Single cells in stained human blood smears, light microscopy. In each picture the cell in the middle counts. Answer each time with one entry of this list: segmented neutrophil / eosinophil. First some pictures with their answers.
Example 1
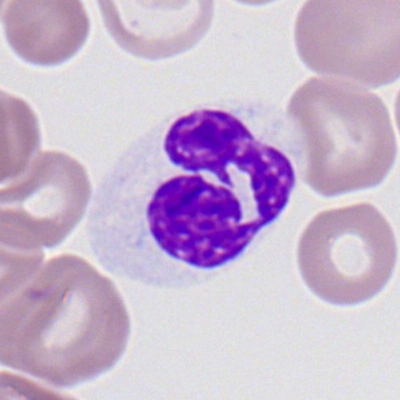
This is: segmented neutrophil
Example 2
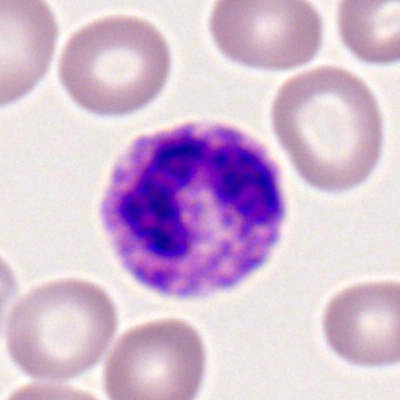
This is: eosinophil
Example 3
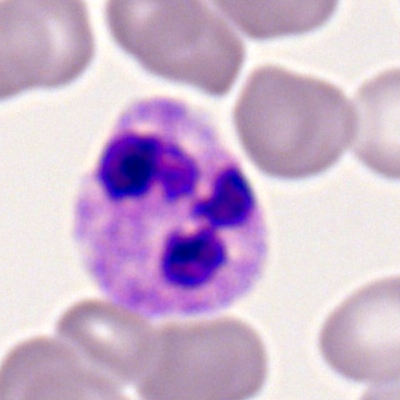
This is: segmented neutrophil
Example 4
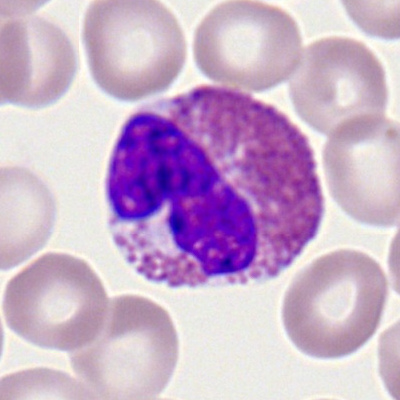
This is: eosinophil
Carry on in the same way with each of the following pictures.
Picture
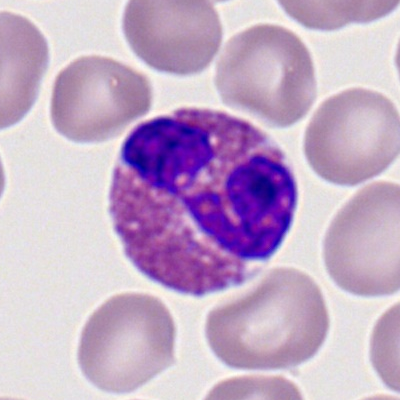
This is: eosinophil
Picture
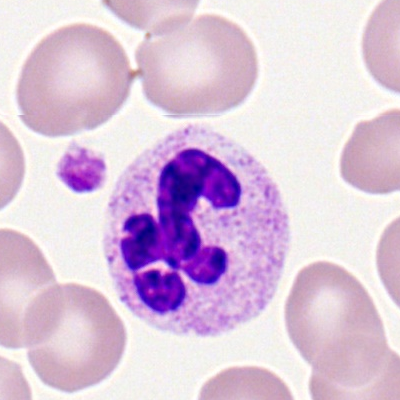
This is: segmented neutrophil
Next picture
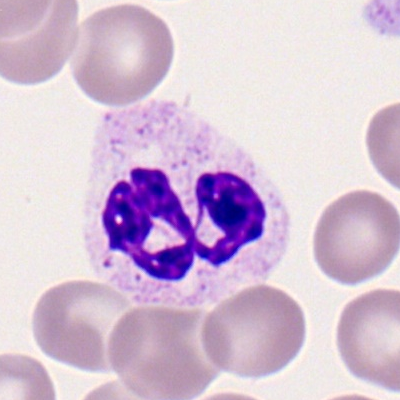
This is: segmented neutrophil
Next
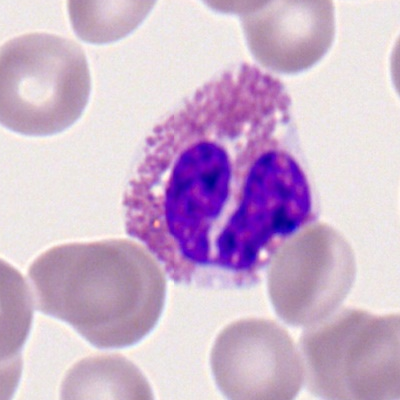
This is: eosinophil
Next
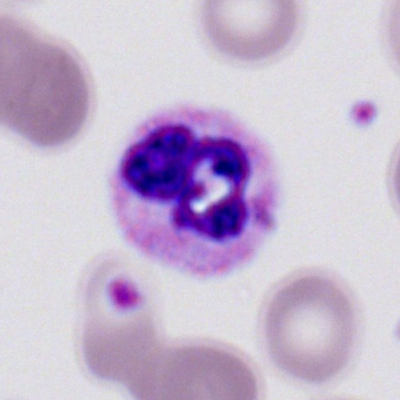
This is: segmented neutrophil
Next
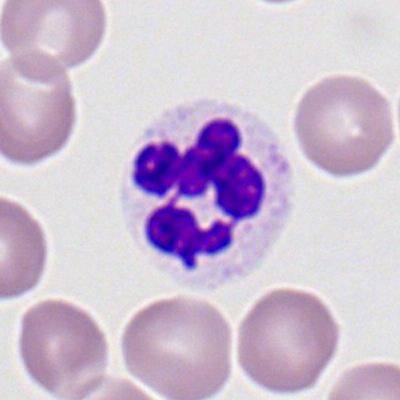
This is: segmented neutrophil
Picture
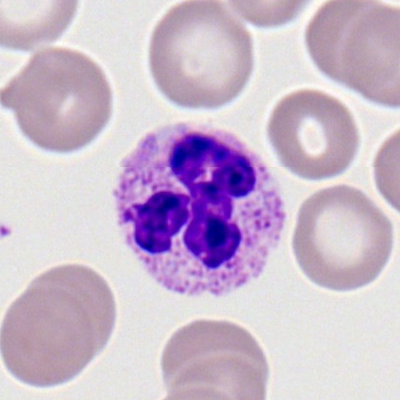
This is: segmented neutrophil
